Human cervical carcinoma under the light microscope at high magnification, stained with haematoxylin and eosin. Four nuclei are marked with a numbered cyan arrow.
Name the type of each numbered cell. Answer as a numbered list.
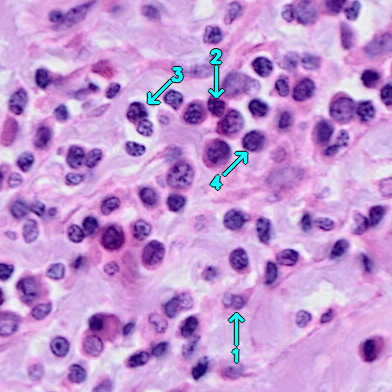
1. macrophage or monocyte
2. lymphocyte
3. lymphocyte
4. lymphocyte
